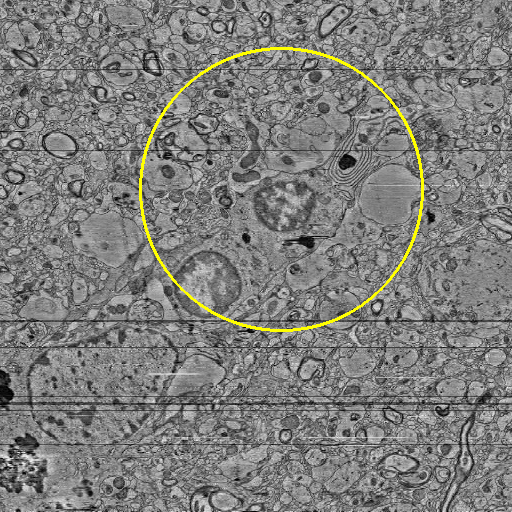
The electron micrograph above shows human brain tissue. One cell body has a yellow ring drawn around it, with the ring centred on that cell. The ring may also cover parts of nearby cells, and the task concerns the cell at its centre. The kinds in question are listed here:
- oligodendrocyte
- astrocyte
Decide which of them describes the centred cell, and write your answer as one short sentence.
The centred cell is an oligodendrocyte.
